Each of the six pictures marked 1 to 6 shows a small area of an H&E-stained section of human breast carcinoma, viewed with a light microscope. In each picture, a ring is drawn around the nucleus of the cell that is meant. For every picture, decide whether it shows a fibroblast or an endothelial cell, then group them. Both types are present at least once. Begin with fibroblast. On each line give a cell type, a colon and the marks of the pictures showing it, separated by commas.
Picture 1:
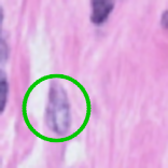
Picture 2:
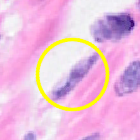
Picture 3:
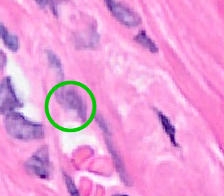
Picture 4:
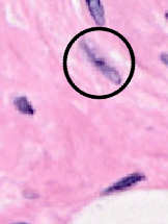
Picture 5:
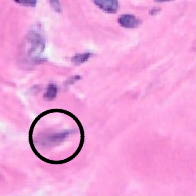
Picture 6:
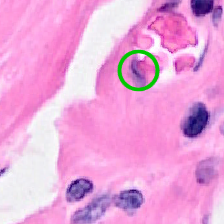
fibroblast: 1, 2, 4, 5
endothelial cell: 3, 6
